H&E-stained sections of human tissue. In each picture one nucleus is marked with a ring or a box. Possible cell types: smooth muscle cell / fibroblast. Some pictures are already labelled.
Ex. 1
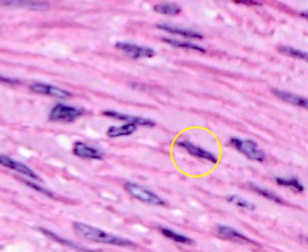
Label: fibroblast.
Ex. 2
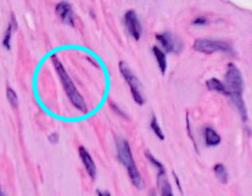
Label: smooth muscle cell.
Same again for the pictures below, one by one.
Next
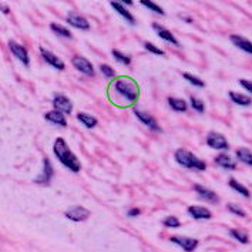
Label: smooth muscle cell.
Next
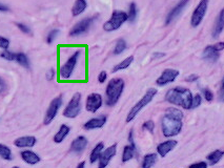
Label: fibroblast.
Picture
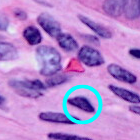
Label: fibroblast.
